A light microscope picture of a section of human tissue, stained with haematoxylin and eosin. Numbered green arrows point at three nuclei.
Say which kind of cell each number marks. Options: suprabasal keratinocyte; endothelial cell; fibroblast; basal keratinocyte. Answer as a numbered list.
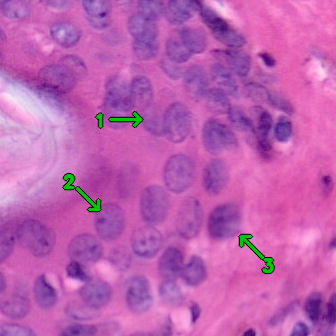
1. suprabasal keratinocyte
2. suprabasal keratinocyte
3. basal keratinocyte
